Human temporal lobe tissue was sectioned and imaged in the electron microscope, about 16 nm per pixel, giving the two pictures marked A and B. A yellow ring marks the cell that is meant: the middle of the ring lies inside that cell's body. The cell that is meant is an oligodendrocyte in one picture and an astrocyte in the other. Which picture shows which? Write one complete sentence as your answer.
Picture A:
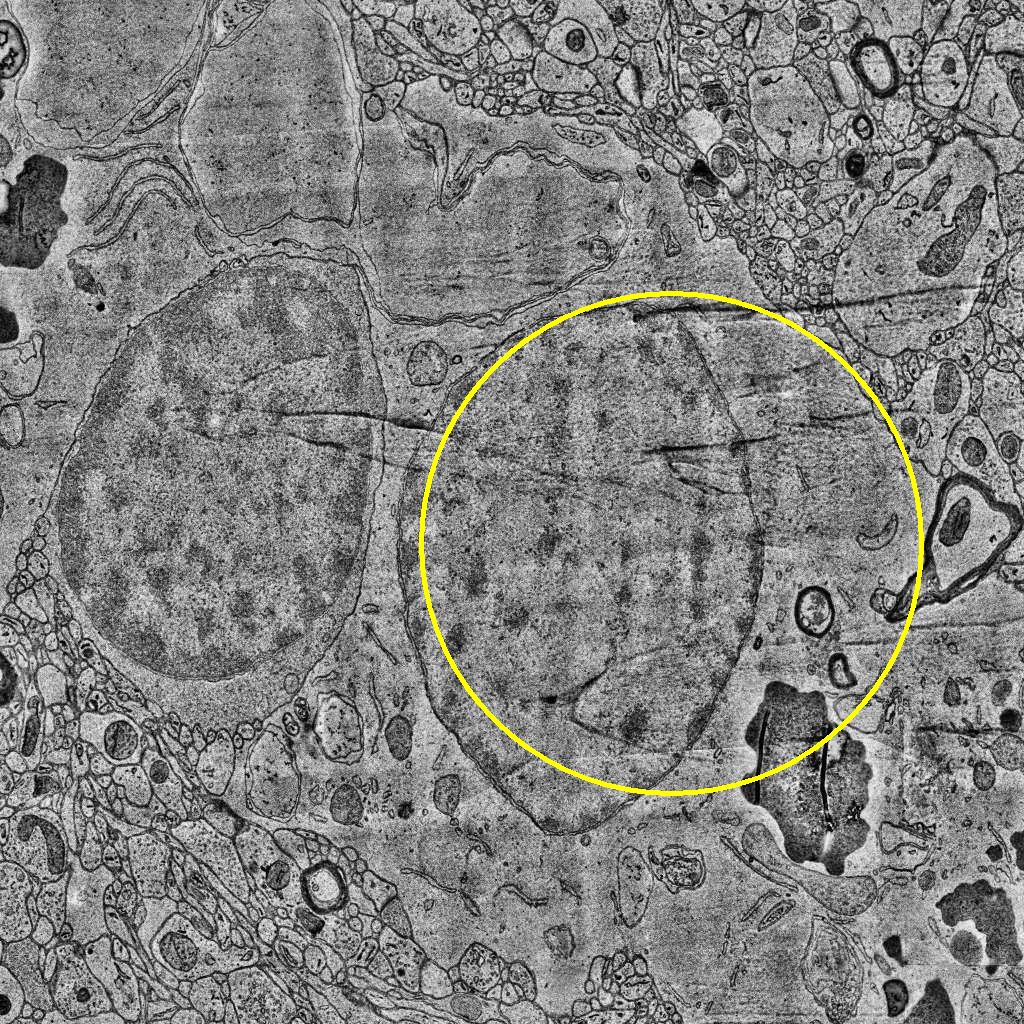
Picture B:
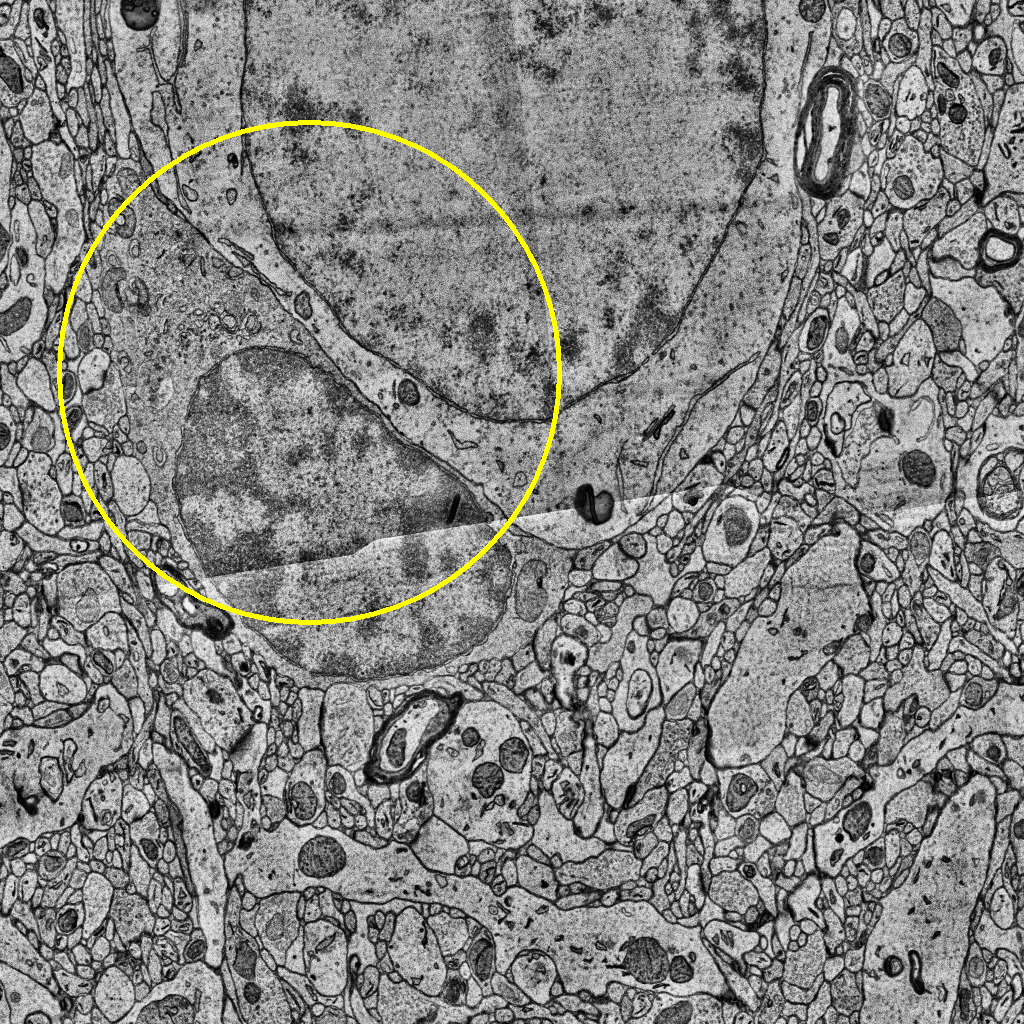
It is picture A that shows an astrocyte, and picture B that shows an oligodendrocyte.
